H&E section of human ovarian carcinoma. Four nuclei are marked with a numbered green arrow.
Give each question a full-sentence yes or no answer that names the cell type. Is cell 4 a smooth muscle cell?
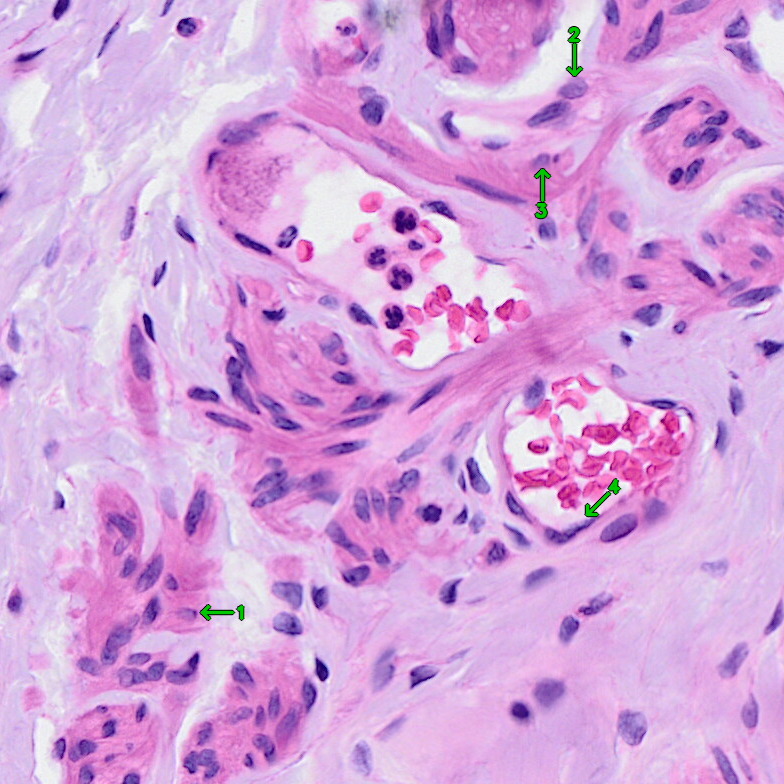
No, in terms of cell type, cell 4 is an endothelial cell, not a smooth muscle cell.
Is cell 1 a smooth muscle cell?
Yes, the one numbered 1 is a smooth muscle cell.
